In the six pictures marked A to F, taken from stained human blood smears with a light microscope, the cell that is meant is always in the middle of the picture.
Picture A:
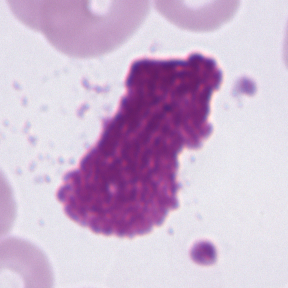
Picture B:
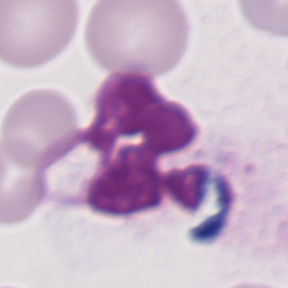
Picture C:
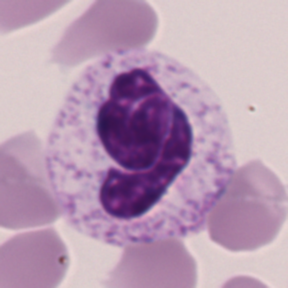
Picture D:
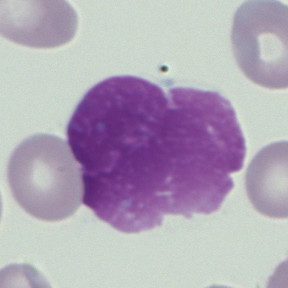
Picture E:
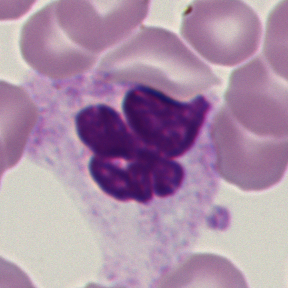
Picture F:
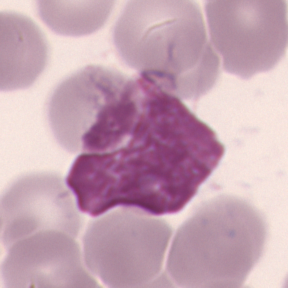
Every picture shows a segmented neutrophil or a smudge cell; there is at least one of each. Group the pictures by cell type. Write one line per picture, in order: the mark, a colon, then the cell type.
A: smudge cell
B: smudge cell
C: segmented neutrophil
D: smudge cell
E: segmented neutrophil
F: smudge cell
